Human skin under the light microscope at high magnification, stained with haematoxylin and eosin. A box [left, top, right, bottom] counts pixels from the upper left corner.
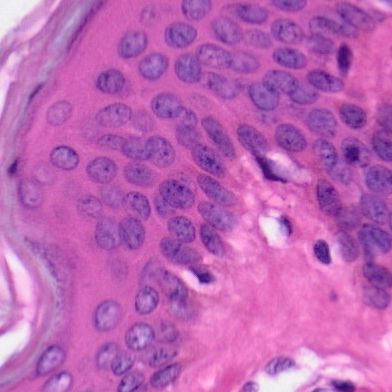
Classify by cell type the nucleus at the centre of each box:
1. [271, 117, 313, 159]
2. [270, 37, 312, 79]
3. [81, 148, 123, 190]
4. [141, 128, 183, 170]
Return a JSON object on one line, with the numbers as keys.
{"1": "basal keratinocyte", "2": "suprabasal keratinocyte", "3": "suprabasal keratinocyte", "4": "suprabasal keratinocyte"}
